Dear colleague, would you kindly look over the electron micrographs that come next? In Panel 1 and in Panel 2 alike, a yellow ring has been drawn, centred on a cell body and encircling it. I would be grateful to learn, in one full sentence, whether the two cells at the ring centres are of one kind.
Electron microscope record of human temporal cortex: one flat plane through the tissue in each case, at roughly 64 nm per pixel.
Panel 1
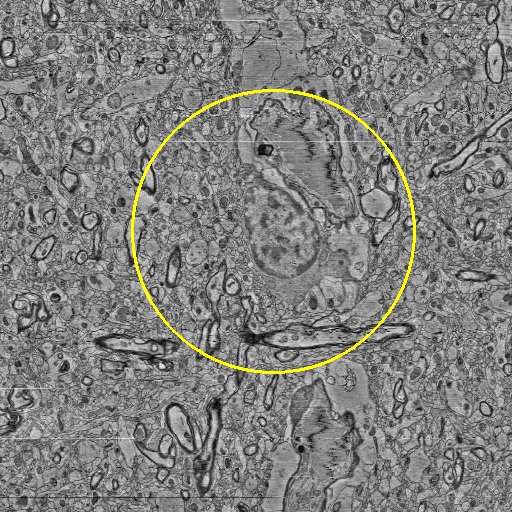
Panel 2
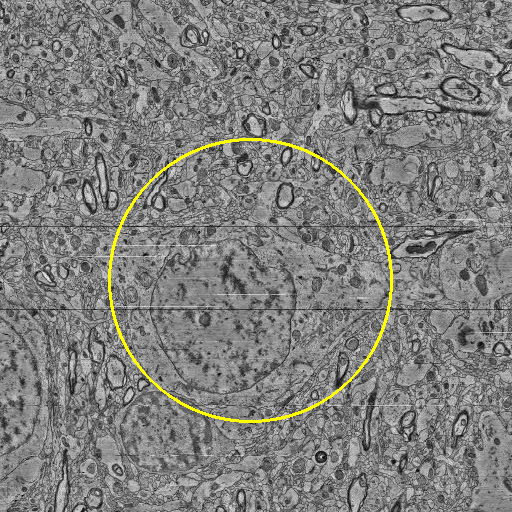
No, the cells in the middle of the rings in the two panels are of two kinds.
